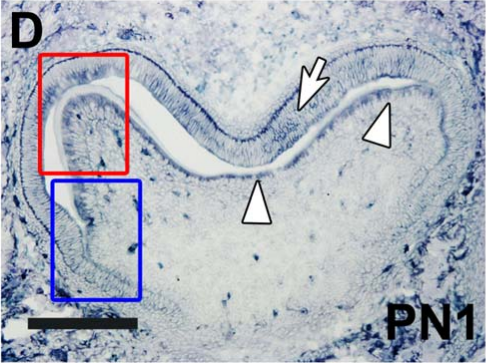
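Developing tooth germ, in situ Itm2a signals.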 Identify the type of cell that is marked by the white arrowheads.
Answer: odontoblasts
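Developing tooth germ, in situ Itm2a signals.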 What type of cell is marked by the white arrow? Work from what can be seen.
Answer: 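Ameloblasts. The arrow points to an outer band of tall, palisaded columnar cells. This band lies on the far side of a pale cleft from the central mass.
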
